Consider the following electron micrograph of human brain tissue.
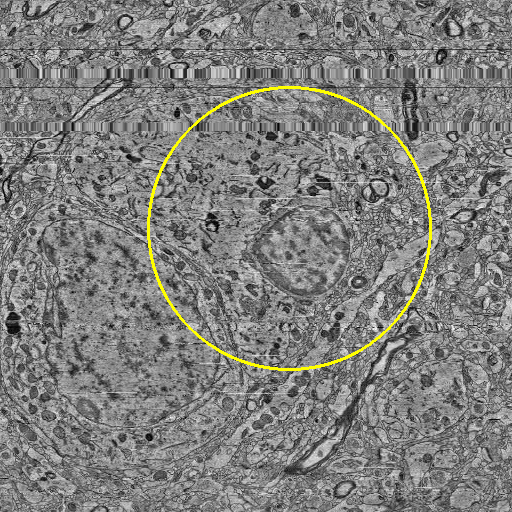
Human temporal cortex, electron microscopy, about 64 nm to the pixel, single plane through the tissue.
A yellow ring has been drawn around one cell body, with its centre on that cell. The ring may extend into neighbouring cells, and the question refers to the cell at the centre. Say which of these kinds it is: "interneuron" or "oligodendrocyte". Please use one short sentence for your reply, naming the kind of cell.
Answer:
The centre of the ring falls on an oligodendrocyte.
